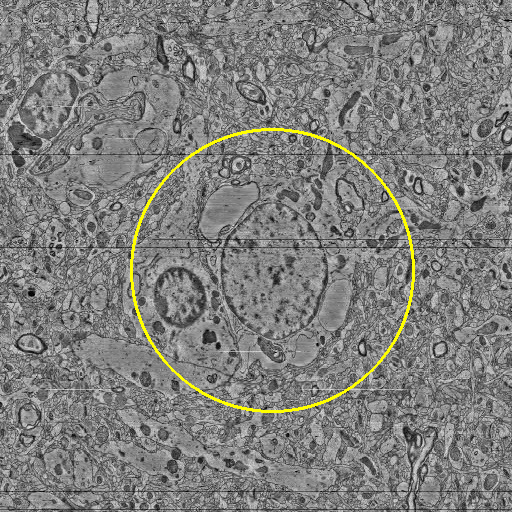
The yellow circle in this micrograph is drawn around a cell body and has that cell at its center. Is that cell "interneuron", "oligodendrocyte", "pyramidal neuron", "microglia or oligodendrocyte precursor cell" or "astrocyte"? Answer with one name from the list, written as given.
astrocyte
